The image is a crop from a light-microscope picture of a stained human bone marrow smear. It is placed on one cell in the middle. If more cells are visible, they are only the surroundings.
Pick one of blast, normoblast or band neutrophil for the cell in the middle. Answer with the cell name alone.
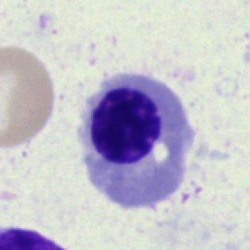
normoblast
